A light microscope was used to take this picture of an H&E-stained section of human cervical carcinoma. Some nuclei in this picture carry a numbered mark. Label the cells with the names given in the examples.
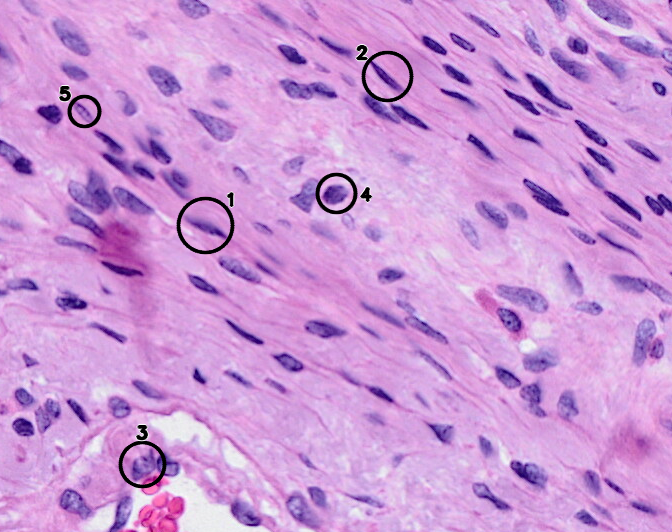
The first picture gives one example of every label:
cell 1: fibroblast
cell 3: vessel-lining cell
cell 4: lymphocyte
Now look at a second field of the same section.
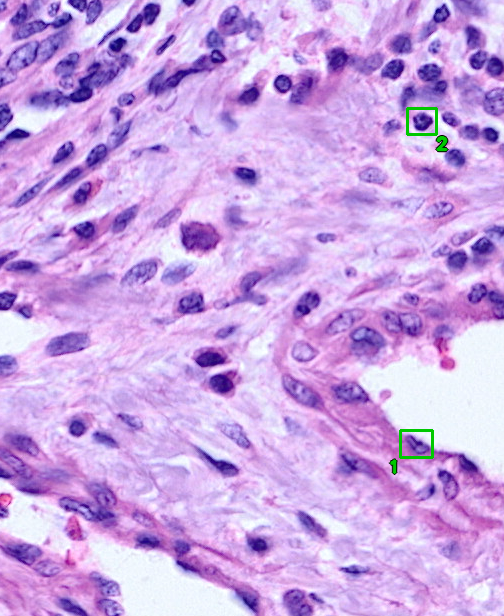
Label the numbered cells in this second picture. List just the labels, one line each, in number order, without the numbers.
vessel-lining cell
lymphocyte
